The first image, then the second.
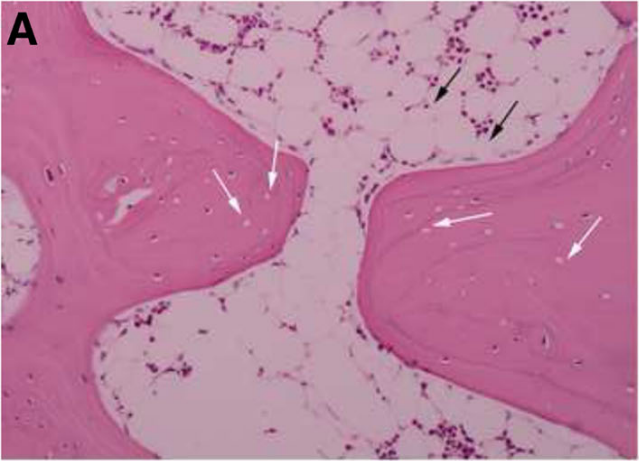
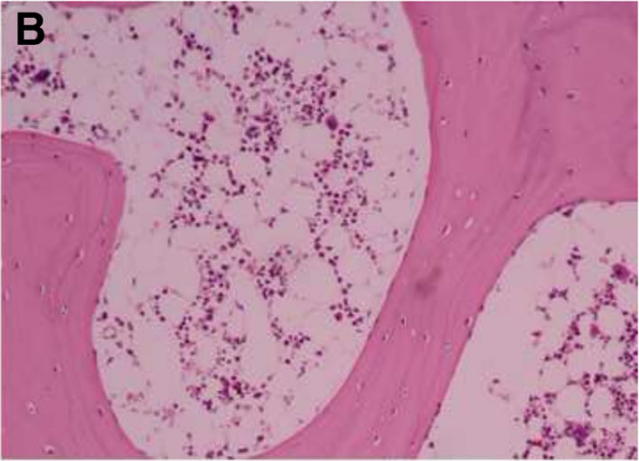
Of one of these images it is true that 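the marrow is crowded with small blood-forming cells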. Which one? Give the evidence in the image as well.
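The second image. First image: the marrow is mostly large empty fat vacuoles with only sparse clusters of small dark nuclei. Second image: the marrow holds dense crowds of small purple-nucleated cells between the vacuoles.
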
